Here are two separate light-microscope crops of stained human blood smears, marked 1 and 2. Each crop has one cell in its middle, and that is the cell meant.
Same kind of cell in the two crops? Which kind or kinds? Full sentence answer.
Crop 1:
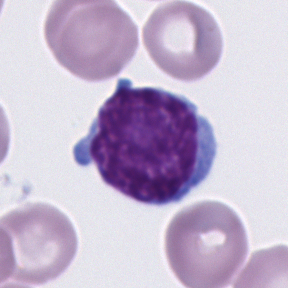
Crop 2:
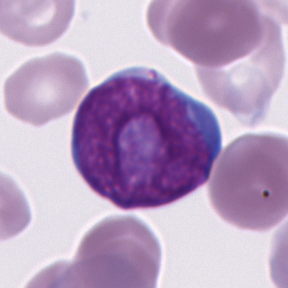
No, the cell shown in crop 1 is a lymphocyte, and the cell shown in crop 2 is a blast.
